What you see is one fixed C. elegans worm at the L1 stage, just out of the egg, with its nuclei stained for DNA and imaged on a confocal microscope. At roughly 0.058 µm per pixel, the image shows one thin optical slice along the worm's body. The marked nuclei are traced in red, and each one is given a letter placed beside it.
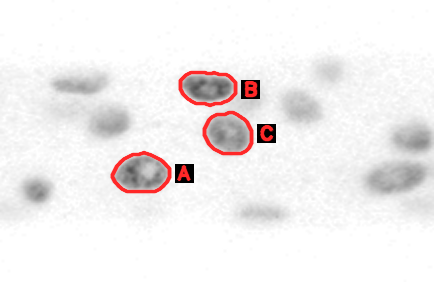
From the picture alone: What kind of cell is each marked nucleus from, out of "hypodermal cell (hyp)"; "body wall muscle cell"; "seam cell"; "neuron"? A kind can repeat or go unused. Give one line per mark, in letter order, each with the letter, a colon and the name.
A: hypodermal cell (hyp)
B: body wall muscle cell
C: seam cell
